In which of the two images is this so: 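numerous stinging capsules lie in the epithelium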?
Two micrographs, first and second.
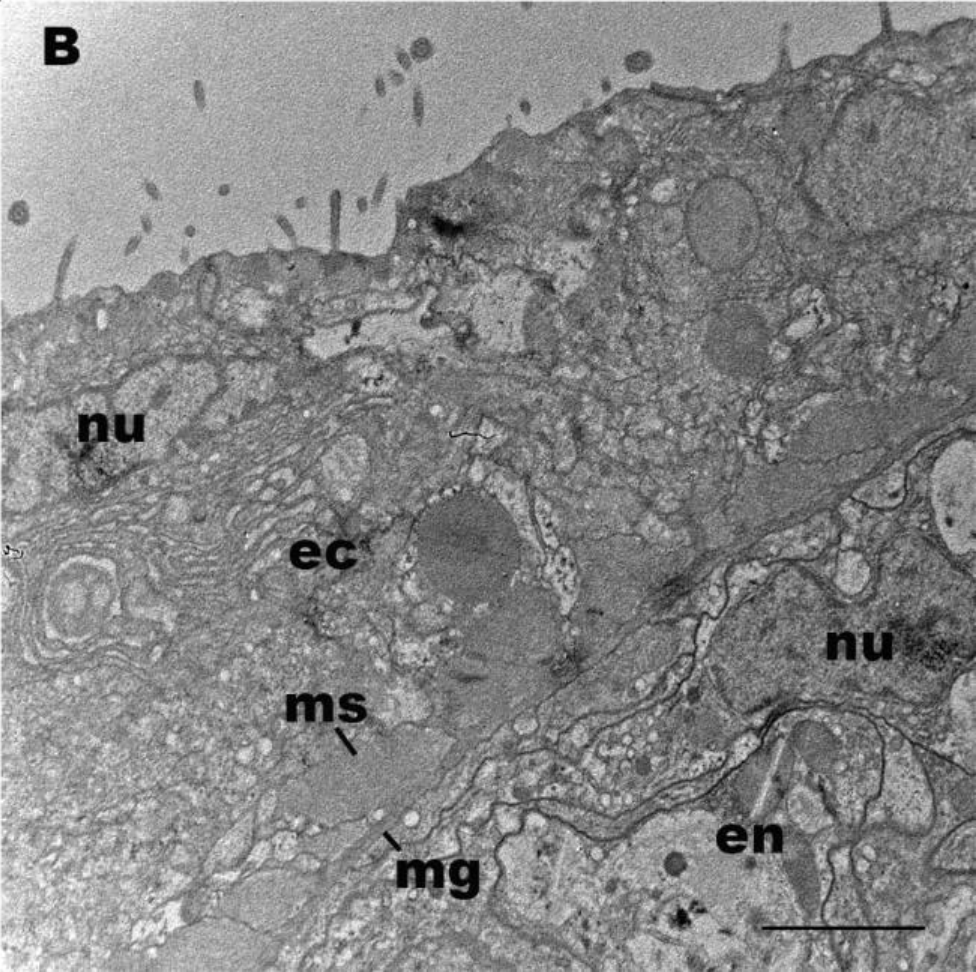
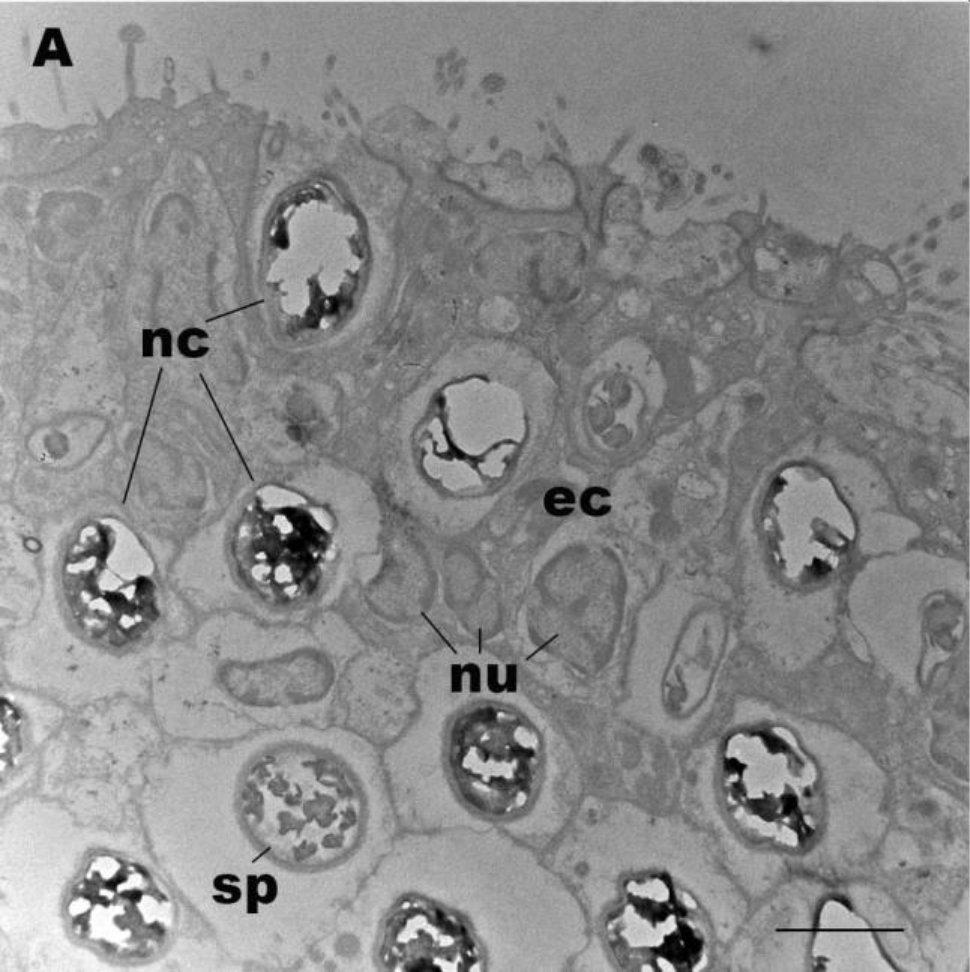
the second image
